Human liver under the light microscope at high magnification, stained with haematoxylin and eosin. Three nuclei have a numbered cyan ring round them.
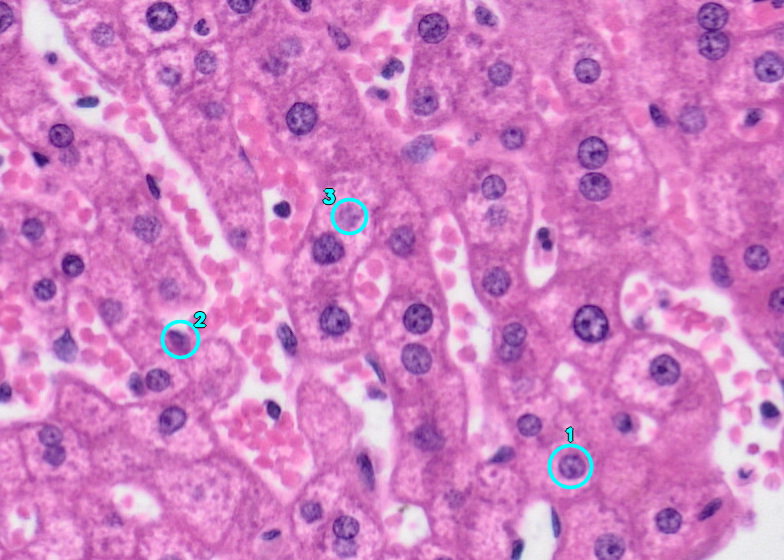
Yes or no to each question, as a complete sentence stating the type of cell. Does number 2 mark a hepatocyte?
No, cell 2 is identified not as a hepatocyte but as an endothelial cell.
